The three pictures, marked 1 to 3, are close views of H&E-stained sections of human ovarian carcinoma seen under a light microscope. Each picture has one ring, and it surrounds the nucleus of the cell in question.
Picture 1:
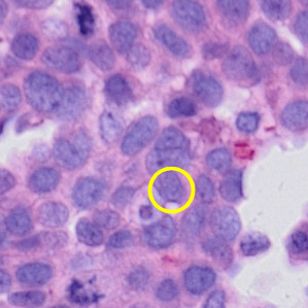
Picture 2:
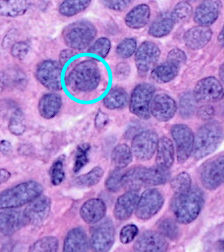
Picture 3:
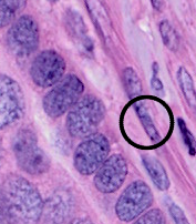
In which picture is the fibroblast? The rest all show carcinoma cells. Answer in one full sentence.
It is picture 3 that shows the fibroblast.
